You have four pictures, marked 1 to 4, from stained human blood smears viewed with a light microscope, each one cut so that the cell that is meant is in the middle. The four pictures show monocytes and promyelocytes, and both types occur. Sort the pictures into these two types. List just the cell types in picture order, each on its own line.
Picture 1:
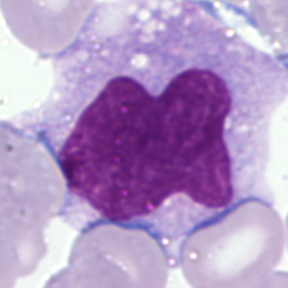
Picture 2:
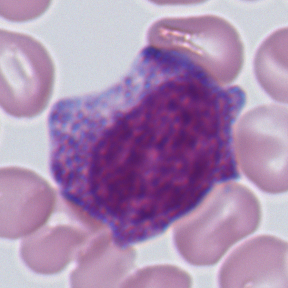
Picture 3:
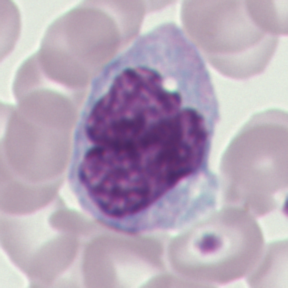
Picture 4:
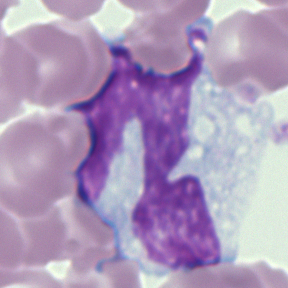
monocyte
promyelocyte
monocyte
monocyte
